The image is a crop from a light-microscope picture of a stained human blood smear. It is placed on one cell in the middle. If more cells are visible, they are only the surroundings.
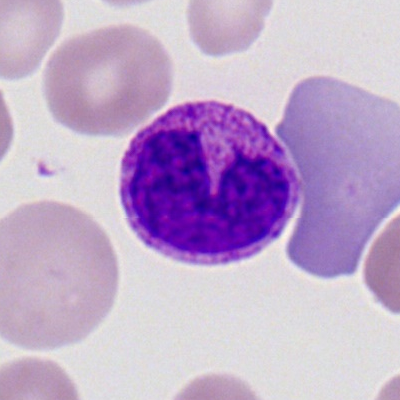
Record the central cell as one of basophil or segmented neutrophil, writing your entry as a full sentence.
The cell shown in the center of this light-microscope crop is a basophil.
